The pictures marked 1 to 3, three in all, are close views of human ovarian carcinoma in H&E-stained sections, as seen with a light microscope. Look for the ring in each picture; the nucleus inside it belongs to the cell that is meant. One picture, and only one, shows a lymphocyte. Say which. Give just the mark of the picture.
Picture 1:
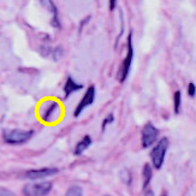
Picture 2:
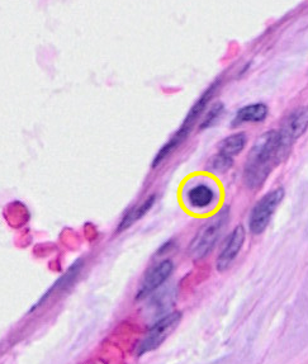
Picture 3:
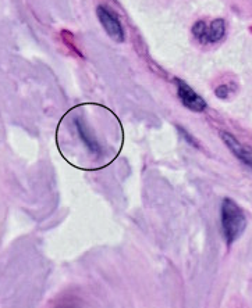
2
